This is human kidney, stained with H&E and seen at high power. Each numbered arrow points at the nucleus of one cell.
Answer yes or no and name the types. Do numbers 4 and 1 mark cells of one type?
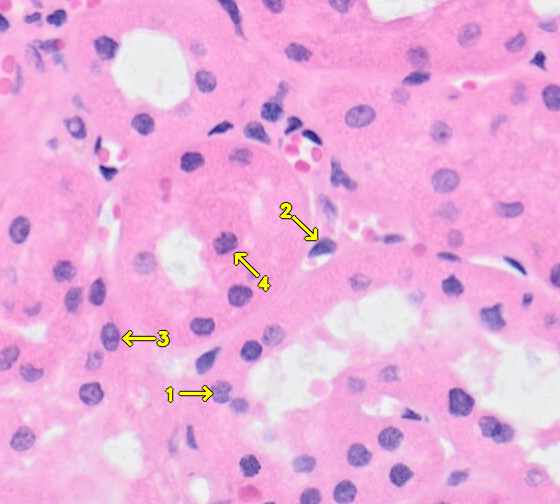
No, cell 4 is a proximal tubule cell; as for cell 1, that one is a loop of Henle or distal tubule cell.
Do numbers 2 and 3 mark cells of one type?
No, cell 2 is an endothelial cell, and cell 3 is, by contrast, a proximal tubule cell.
